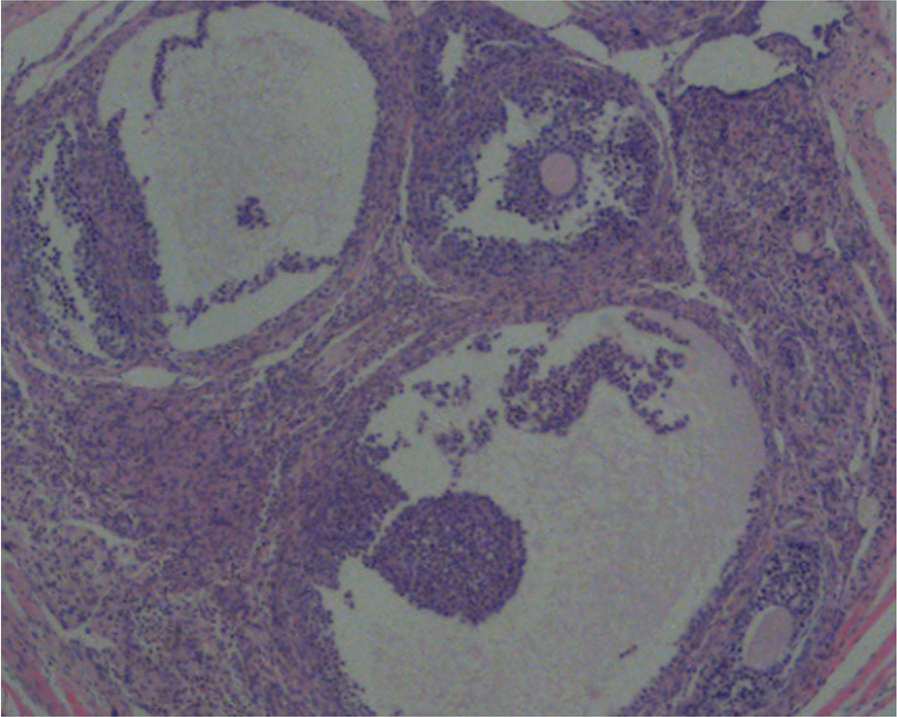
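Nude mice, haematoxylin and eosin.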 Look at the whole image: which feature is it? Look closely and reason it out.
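Several large rounded structures each enclose a wide, pale, fluid-filled cavity. The cavities are lined by multilayered, densely nucleated cells. A round oocyte with a pink zone sits within a cluster of cells projecting into one cavity. The structures are separated by dense, cellular stroma. On this evidence: Antral follicles.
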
